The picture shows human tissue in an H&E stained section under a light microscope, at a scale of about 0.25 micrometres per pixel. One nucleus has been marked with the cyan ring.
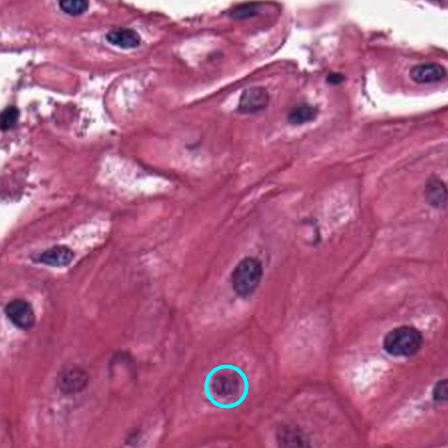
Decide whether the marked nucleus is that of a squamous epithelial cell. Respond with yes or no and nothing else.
yes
